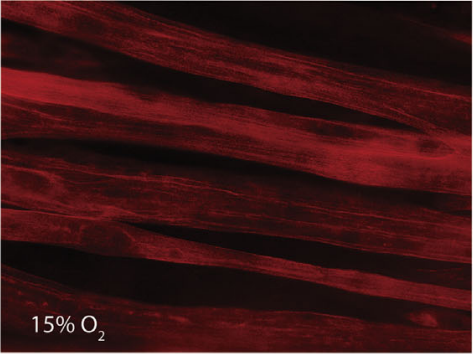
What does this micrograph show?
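Some tubes stand out brighter than their neighbours, and faint darker oval areas can be made out inside a few of them. Dark spaces between the tubes mark where one ends and the next begins.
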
